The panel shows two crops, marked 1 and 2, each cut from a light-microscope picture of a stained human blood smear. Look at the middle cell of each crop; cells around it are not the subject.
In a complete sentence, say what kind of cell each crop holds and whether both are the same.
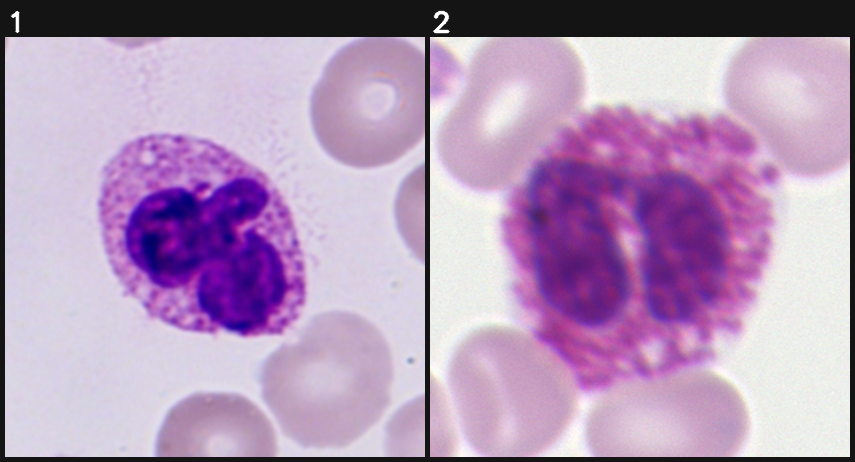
No, a basophil is in crop 1, and an eosinophil is in crop 2.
